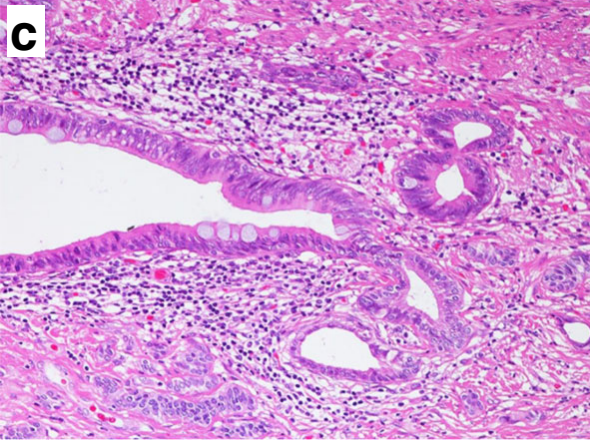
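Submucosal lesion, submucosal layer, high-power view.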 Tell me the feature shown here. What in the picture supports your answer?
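Gland lumens of uneven shape and size lie in the stroma. The glands are lined by columnar epithelium with enlarged, crowded nuclei.
Answer: irregular glands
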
